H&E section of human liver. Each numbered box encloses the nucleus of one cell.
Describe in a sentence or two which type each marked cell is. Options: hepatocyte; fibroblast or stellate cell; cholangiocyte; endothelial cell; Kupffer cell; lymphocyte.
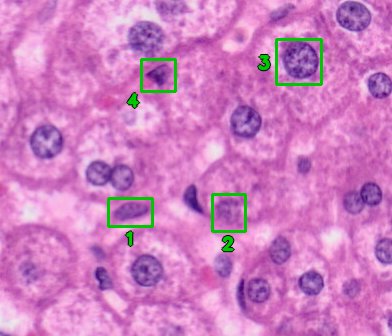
Cell 1 is a Kupffer cell, cell 2 is a hepatocyte, cell 3 is a hepatocyte and cell 4 is an endothelial cell.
